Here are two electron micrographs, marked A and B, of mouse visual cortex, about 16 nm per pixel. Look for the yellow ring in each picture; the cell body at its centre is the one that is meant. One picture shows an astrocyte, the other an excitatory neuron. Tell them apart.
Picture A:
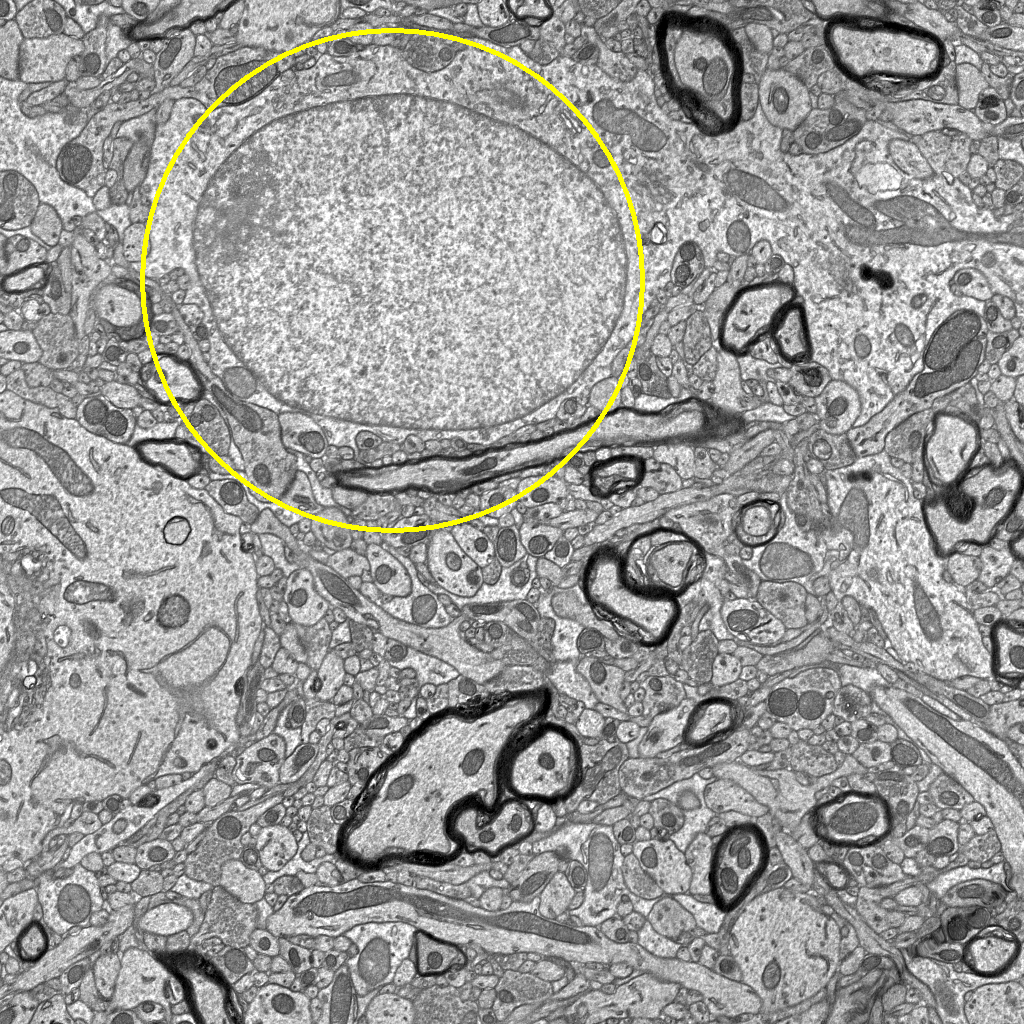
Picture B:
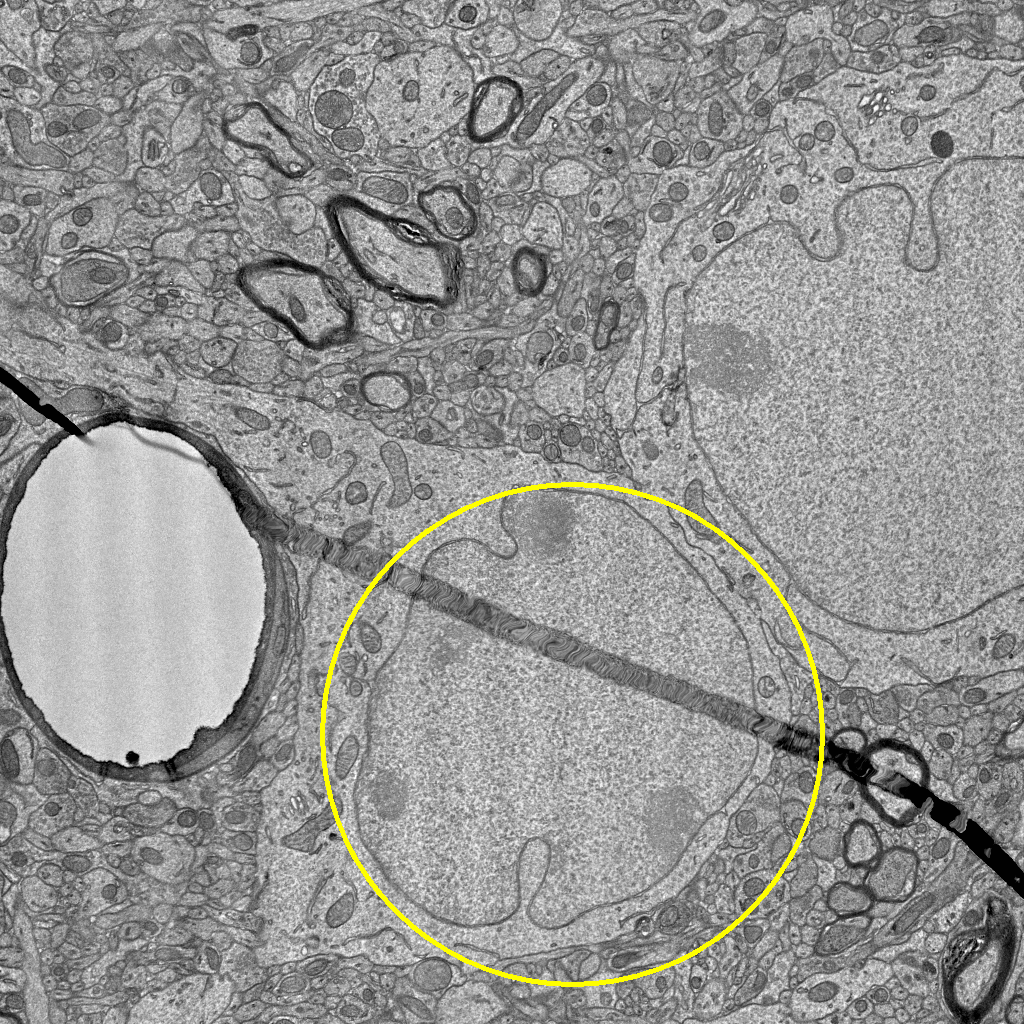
Picture A is of an astrocyte, and picture B is of an excitatory neuron.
